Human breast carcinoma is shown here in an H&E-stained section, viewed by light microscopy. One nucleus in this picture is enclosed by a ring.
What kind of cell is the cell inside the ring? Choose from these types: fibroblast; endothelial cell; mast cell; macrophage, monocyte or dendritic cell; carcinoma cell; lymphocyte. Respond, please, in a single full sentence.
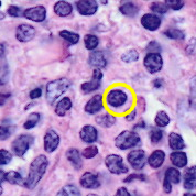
At the level of cell identity, the cell inside the ring is a lymphocyte.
